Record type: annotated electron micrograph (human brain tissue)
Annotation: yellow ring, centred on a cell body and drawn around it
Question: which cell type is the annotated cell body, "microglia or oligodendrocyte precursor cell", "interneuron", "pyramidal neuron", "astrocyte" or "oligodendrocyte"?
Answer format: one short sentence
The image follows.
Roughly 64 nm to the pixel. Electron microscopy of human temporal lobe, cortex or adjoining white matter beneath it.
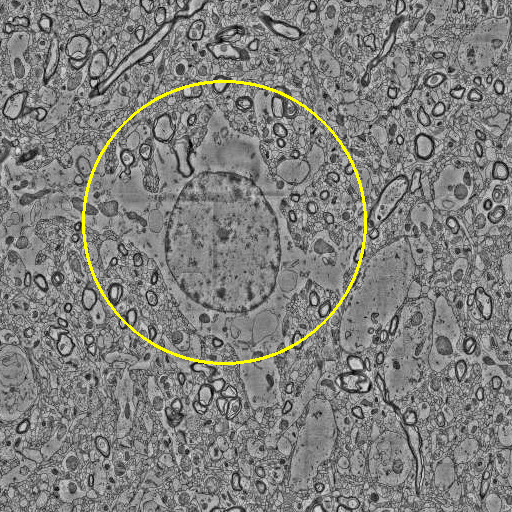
The annotated cell body is that of an astrocyte.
